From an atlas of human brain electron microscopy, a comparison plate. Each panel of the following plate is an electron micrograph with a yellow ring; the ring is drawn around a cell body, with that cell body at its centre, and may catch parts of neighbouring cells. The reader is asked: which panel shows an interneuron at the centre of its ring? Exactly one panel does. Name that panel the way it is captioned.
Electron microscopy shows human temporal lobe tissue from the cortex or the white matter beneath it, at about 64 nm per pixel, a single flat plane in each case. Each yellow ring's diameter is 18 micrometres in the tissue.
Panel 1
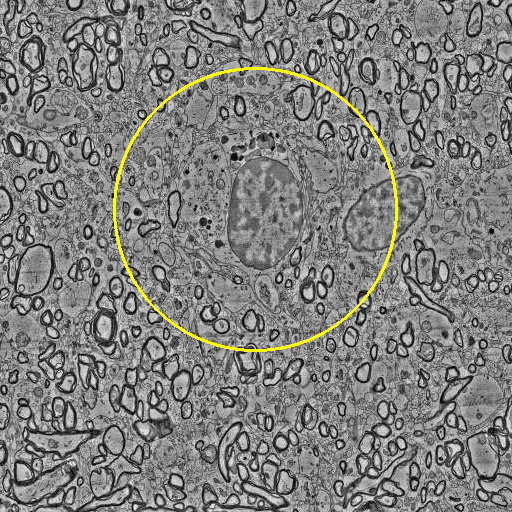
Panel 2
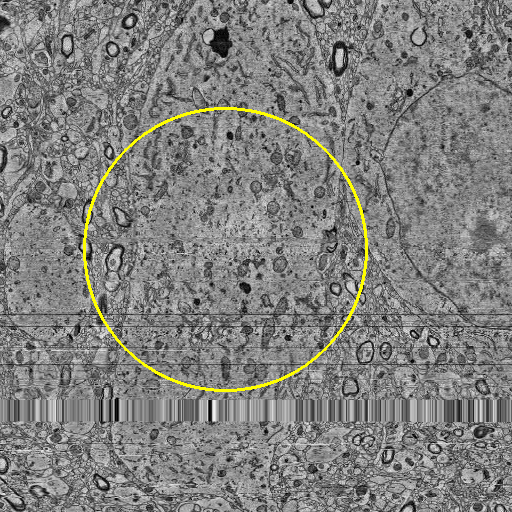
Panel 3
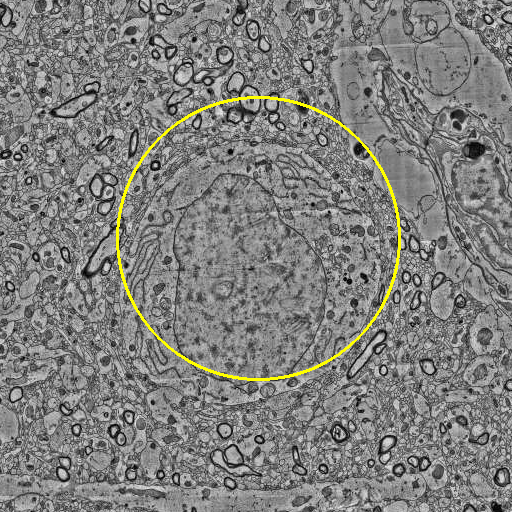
Panel 3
